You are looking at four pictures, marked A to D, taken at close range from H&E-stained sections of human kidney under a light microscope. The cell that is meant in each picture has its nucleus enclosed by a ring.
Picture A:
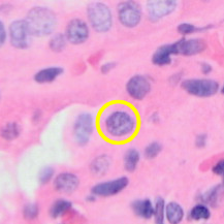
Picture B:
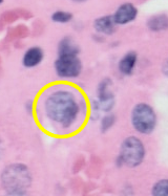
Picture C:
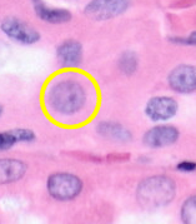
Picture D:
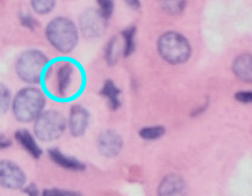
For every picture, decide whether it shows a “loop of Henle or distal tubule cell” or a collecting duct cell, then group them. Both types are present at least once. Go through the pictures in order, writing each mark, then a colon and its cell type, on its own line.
A: loop of Henle or distal tubule cell
B: loop of Henle or distal tubule cell
C: loop of Henle or distal tubule cell
D: collecting duct cell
